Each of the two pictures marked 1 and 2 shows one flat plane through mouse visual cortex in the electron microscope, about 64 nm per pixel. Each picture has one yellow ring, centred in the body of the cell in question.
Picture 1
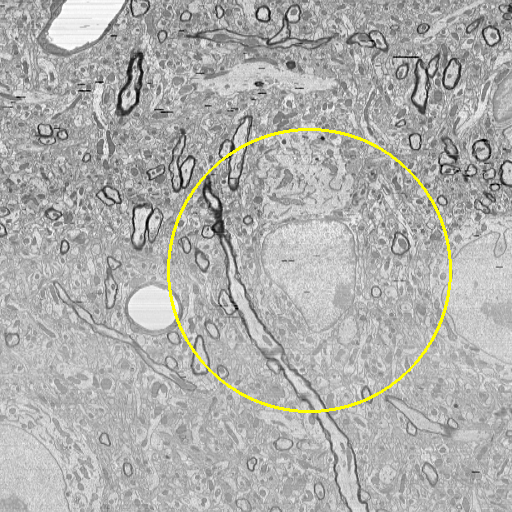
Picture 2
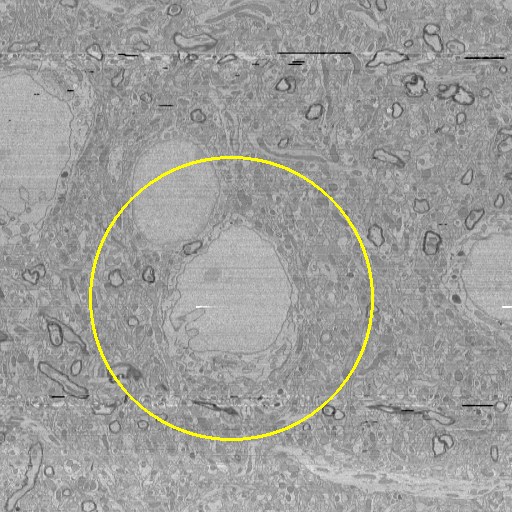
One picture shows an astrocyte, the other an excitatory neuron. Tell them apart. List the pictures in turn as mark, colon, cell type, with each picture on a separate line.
1: astrocyte
2: excitatory neuron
